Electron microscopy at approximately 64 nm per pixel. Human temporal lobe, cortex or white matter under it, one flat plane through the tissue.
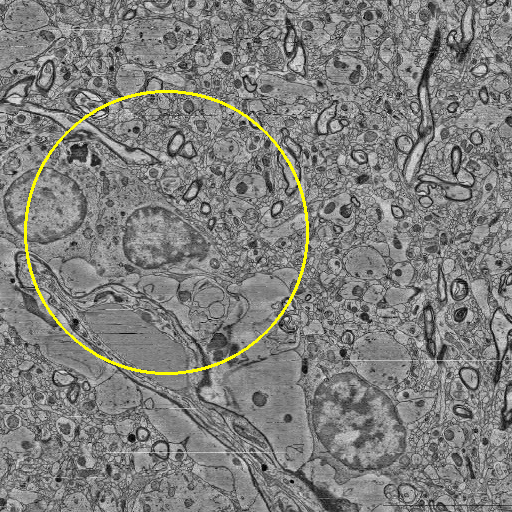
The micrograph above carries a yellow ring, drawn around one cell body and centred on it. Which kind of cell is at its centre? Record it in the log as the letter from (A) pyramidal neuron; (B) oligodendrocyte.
B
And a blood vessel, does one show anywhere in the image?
Yes, one appears.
